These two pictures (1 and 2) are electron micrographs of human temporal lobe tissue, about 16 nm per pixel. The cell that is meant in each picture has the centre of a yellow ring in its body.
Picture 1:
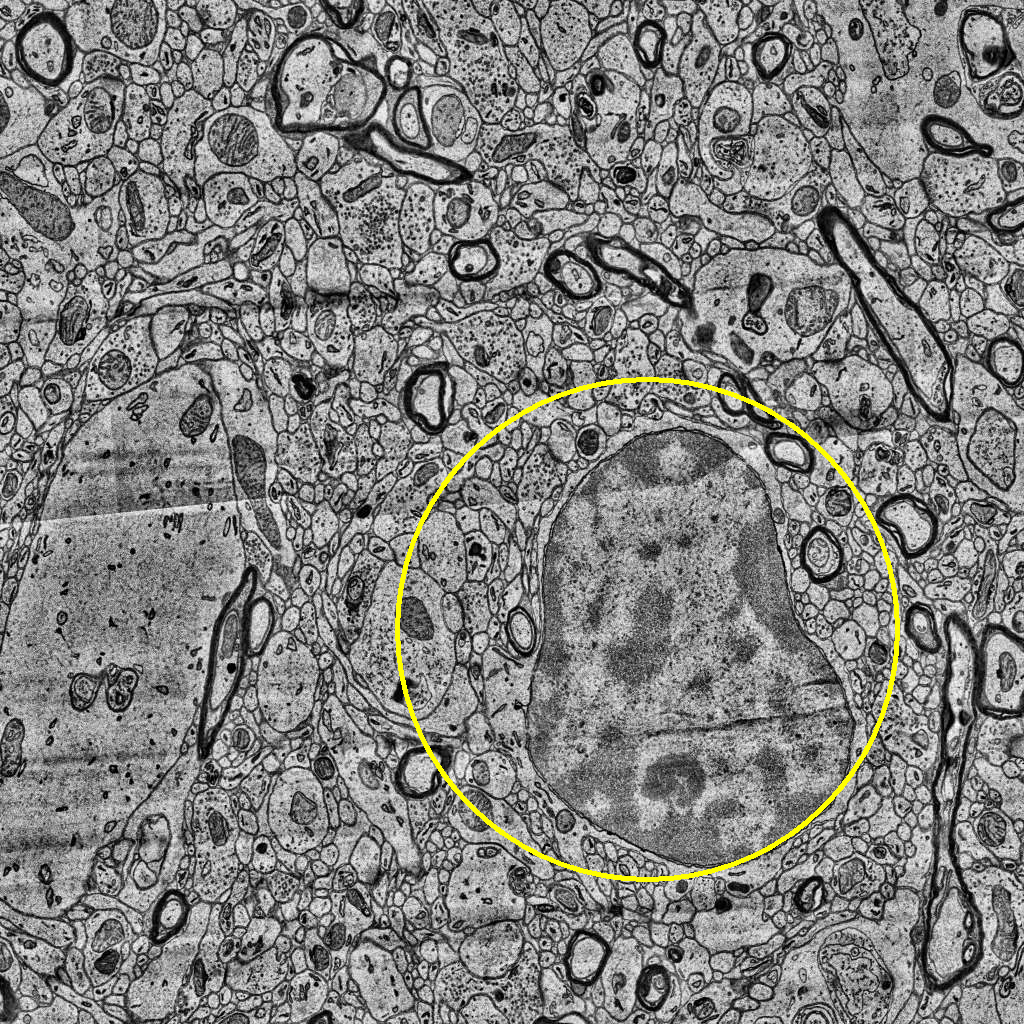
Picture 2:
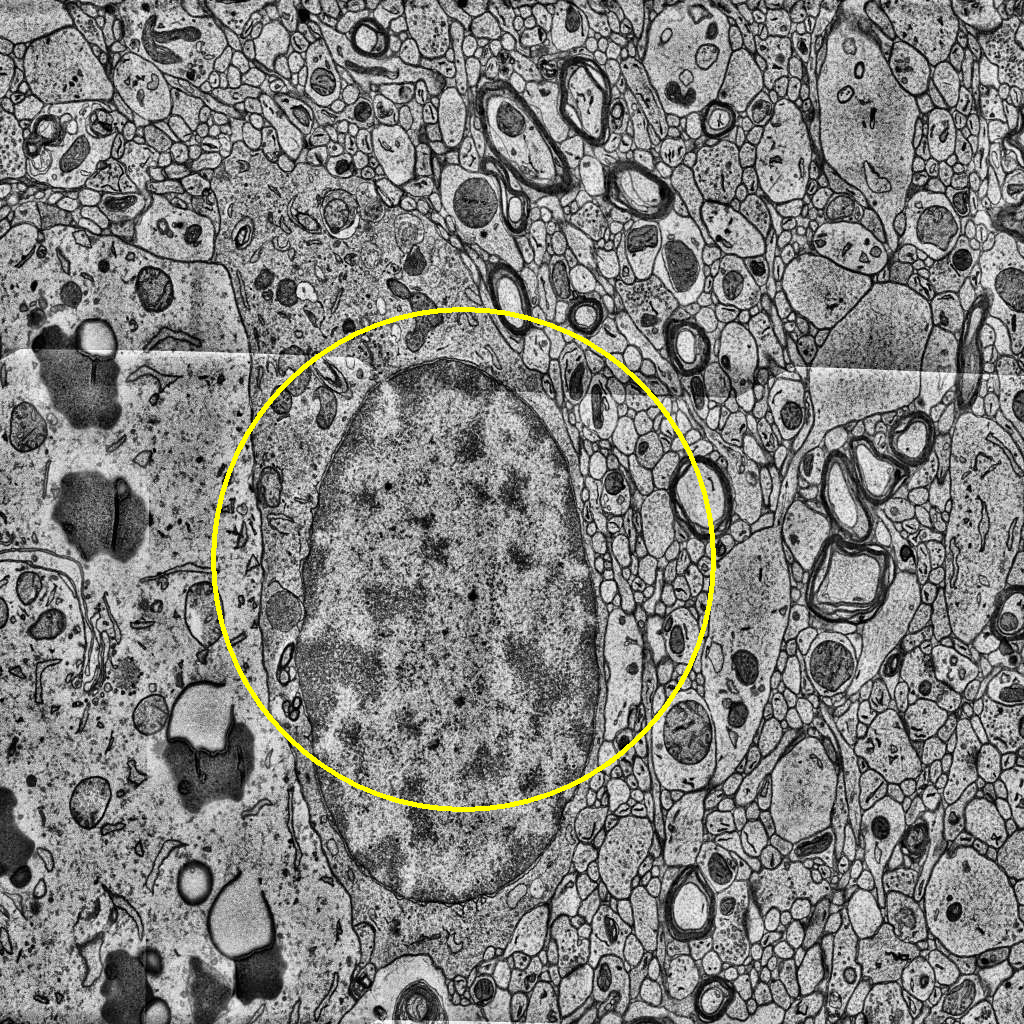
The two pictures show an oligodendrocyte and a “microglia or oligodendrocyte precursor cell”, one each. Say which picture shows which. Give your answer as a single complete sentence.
It is picture 1 that shows a “microglia or oligodendrocyte precursor cell”, and picture 2 that shows an oligodendrocyte.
